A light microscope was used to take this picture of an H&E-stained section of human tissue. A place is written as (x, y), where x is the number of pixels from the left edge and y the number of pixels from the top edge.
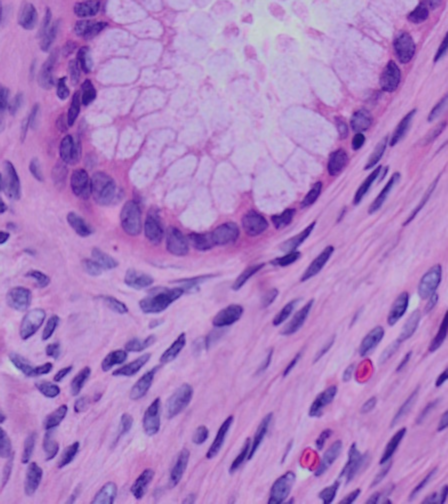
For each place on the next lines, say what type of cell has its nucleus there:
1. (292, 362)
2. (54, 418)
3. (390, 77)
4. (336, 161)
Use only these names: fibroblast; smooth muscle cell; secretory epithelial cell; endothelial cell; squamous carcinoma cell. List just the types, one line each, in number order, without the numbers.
fibroblast
fibroblast
secretory epithelial cell
secretory epithelial cell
